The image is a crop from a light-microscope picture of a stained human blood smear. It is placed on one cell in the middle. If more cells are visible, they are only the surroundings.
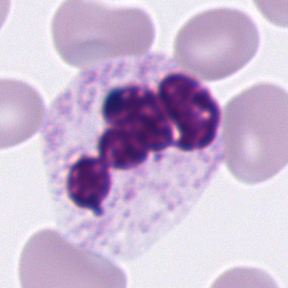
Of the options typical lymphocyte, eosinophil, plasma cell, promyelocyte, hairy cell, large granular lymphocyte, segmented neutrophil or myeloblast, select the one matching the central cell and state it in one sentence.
At the crop's centre, the cell is a segmented neutrophil.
